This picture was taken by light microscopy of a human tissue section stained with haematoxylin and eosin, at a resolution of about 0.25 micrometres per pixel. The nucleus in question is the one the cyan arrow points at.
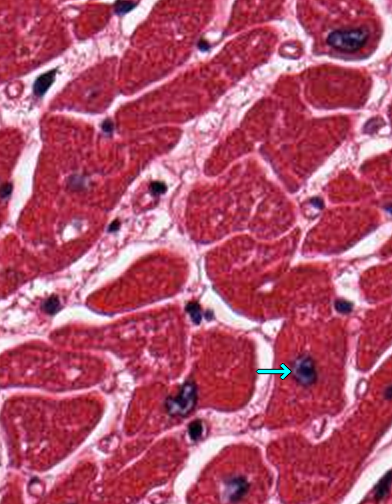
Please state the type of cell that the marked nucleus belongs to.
cardiomyocyte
